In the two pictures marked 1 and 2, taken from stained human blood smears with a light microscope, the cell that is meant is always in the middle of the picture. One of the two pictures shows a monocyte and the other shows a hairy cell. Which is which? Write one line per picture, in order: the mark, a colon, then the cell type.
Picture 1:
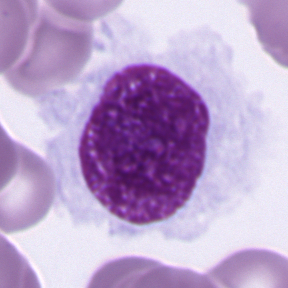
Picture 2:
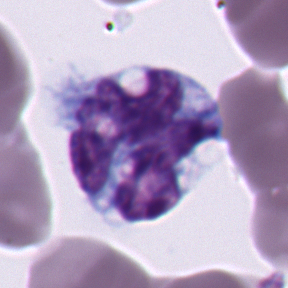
1: hairy cell
2: monocyte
